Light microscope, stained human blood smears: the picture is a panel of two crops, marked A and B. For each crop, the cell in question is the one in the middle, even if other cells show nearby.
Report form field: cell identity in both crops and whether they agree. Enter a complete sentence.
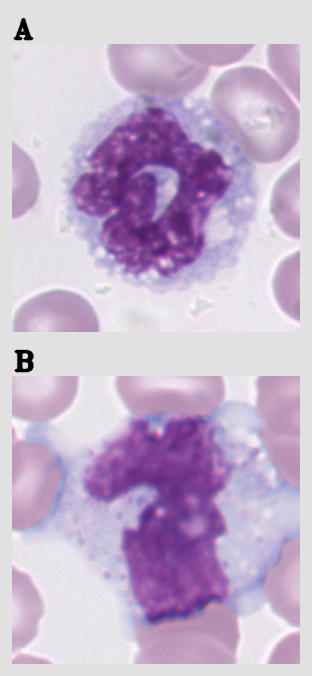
Yes, both crops depict monocytes at the centre.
